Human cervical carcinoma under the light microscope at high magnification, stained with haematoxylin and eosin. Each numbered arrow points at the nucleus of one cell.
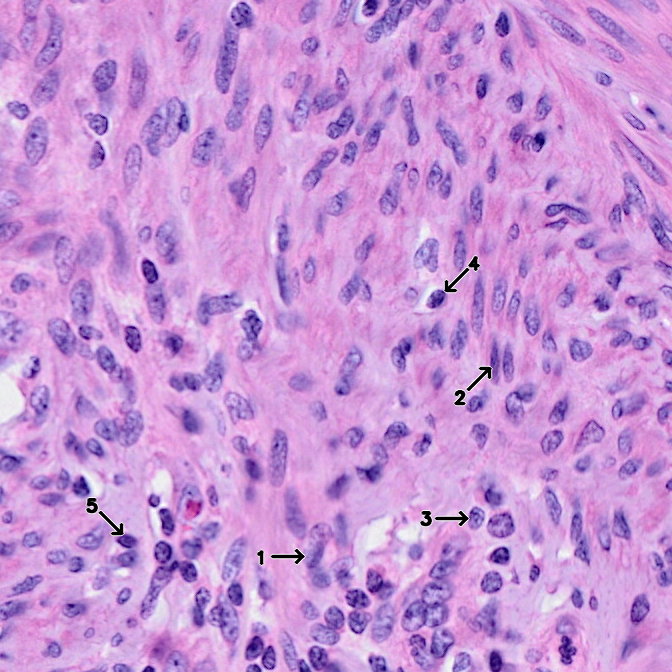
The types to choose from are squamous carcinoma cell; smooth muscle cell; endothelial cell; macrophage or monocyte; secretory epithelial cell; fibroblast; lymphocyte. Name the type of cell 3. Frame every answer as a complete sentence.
Belonging to a lymphocyte is the nucleus that carries the number 3.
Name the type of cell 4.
The cell that carries the label 4 is a lymphocyte.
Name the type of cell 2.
Among the marked cells, number 2 is a smooth muscle cell.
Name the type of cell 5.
Corresponding to a lymphocyte is the cell labelled 5.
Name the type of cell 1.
The cell whose nucleus carries the number 1 is a fibroblast.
